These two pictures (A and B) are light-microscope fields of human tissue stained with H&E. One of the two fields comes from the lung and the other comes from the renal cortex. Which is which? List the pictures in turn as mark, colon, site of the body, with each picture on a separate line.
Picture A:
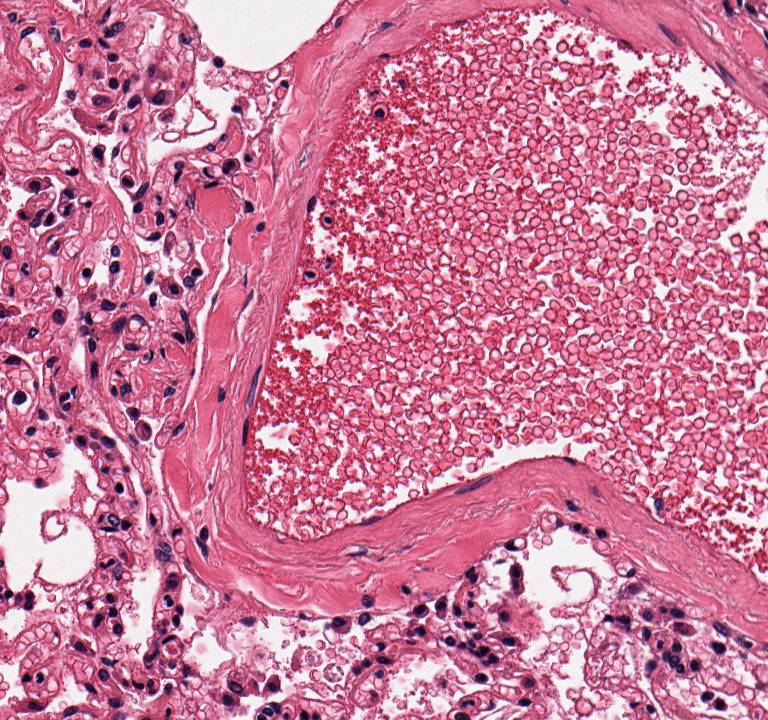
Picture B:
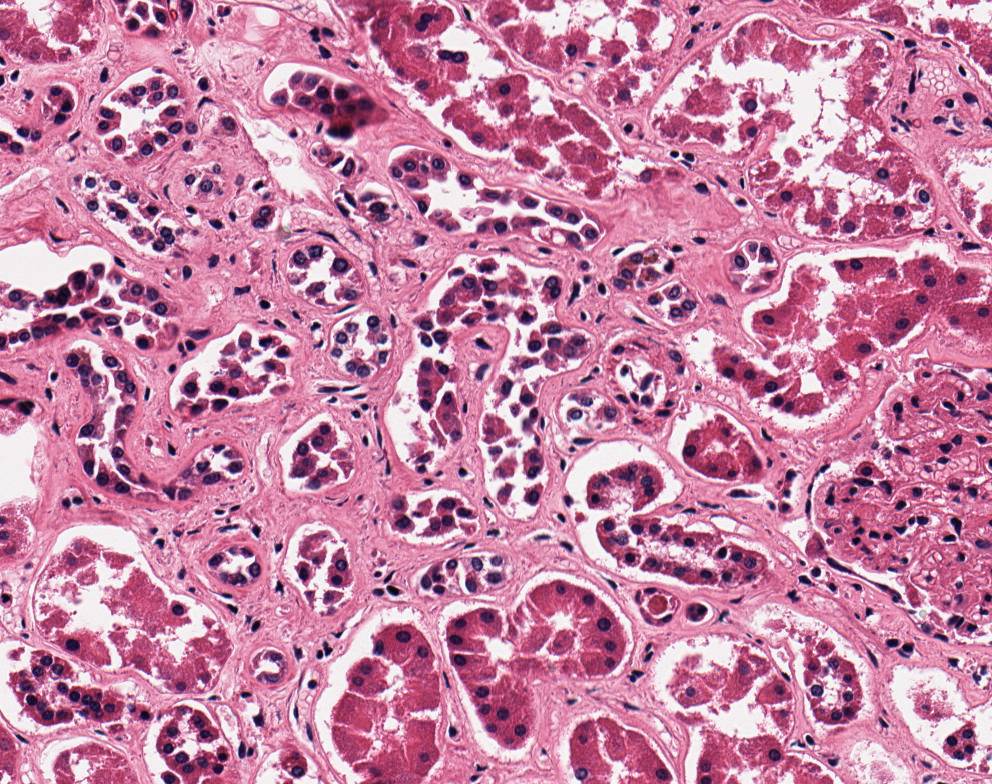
A: lung
B: renal cortex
